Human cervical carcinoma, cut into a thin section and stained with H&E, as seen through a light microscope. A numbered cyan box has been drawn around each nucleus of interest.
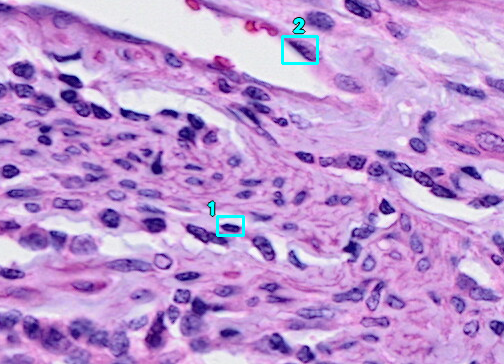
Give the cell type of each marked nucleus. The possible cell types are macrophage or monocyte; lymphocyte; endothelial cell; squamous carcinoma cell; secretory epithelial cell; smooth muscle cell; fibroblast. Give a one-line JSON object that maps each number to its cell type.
{"1": "lymphocyte", "2": "endothelial cell"}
